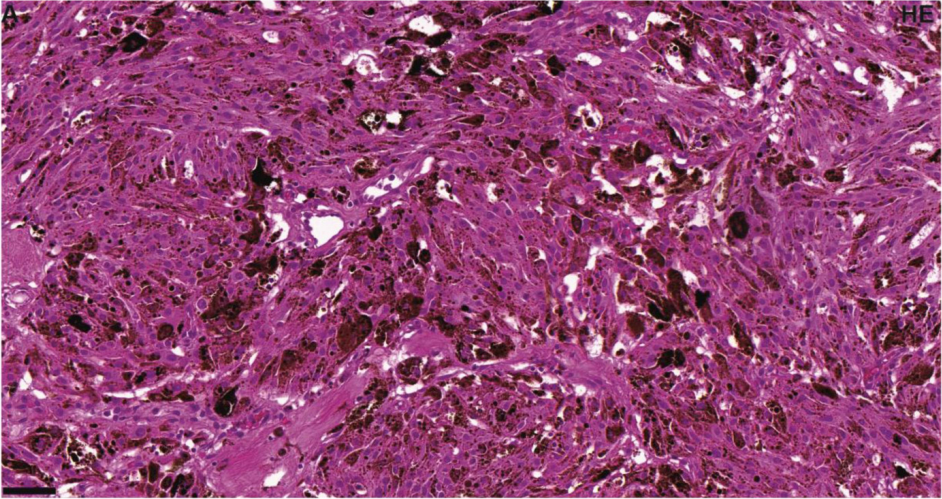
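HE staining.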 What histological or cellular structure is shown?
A: Short fascicles.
